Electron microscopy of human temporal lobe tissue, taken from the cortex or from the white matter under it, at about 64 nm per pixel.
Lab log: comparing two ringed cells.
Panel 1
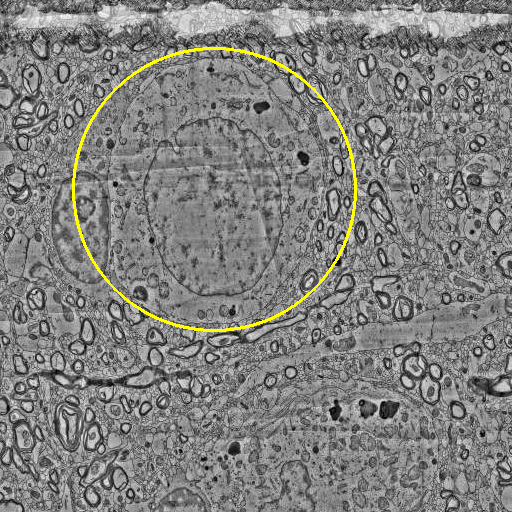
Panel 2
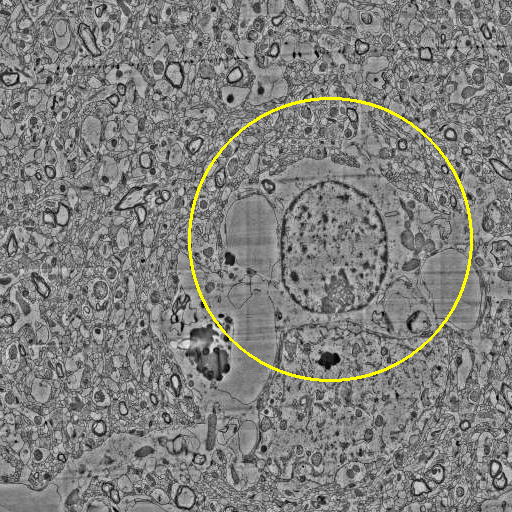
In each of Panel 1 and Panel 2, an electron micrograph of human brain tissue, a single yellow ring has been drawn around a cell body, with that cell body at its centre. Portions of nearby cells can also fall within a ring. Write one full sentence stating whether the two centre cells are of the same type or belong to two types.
The cells at the ring centres in Panel 1 and Panel 2 belong to two types.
